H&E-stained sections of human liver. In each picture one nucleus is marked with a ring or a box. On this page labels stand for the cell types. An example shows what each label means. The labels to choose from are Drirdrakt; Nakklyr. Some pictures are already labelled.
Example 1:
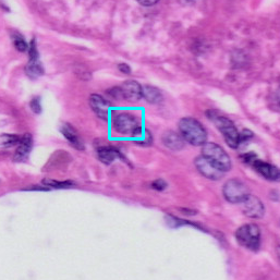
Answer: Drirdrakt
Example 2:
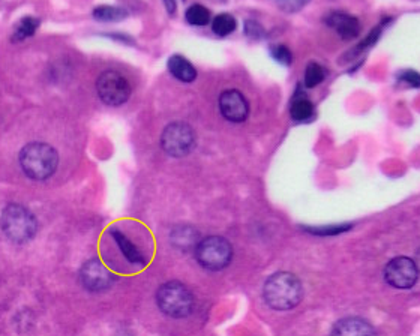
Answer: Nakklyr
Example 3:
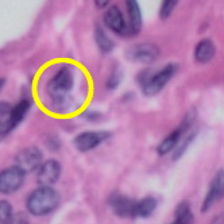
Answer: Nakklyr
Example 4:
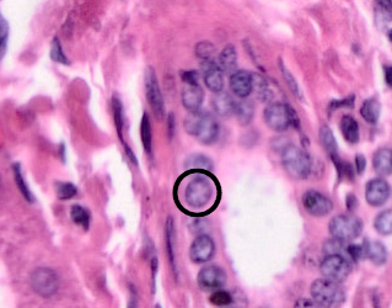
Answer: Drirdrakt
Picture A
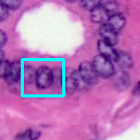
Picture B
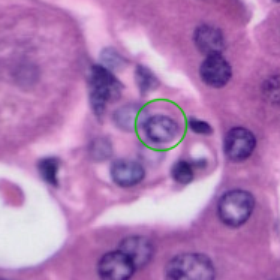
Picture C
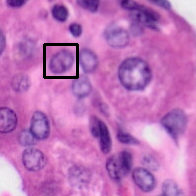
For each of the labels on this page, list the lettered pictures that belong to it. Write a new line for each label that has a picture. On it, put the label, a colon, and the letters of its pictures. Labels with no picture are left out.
Drirdrakt: A, B, C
